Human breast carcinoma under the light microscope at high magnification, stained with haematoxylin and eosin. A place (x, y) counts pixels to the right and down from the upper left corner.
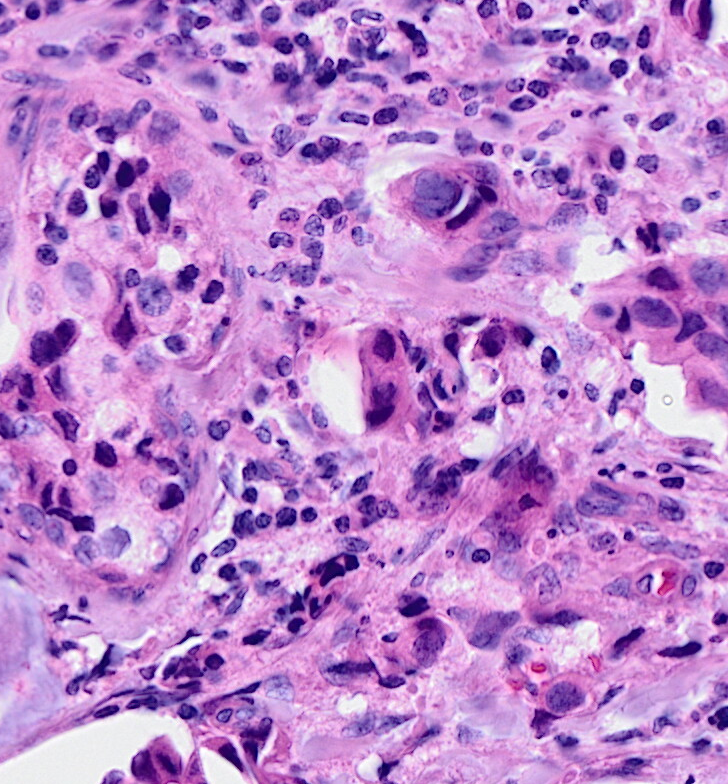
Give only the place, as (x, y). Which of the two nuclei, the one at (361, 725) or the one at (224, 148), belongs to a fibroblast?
(361, 725)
